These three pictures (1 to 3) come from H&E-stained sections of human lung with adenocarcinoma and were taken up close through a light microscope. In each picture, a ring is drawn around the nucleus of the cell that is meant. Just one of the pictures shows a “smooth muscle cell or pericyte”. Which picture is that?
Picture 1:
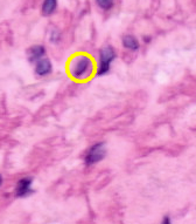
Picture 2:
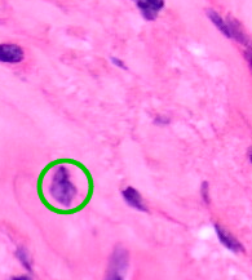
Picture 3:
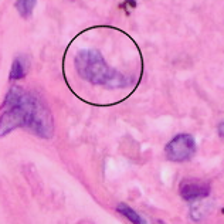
1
